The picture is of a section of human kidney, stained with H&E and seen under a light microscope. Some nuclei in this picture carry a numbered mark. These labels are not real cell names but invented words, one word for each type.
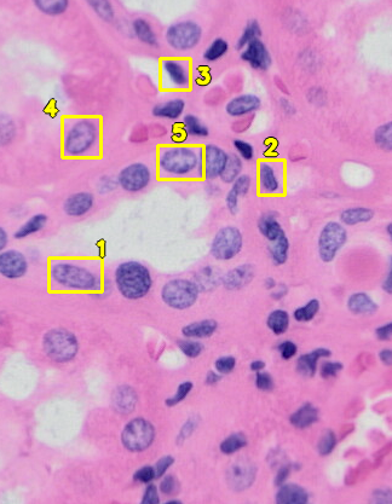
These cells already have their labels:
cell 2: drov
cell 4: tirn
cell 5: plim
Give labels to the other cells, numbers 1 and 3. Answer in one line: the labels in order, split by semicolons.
plim; drov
